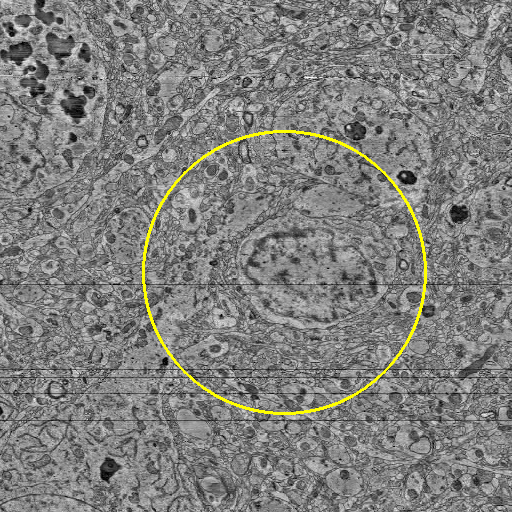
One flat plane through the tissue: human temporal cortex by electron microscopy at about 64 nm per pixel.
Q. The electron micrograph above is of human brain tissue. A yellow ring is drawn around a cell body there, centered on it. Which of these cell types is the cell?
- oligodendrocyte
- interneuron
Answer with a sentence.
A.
The cell under the ring's center is an interneuron.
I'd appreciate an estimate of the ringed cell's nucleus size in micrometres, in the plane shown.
The ringed cell's nucleus measures approximately 8 by 6 micrometres in this plane.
